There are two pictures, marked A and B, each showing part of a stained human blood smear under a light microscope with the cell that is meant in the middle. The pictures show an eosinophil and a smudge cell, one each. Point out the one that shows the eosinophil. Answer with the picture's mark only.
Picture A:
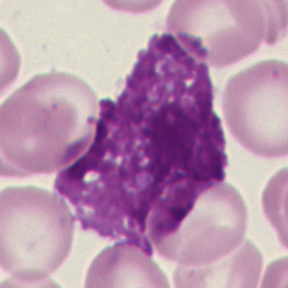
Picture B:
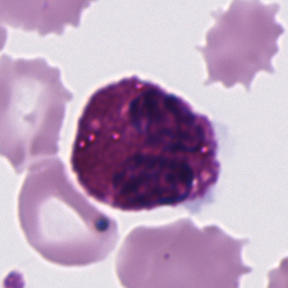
B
